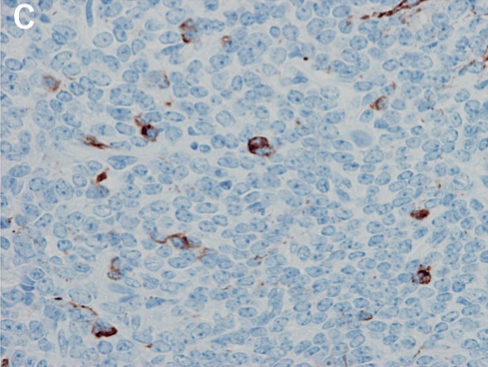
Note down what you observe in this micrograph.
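A dense field of tumor cells with pale blue round to oval nuclei, most of them unstained. Scattered single cells and thin branching processes among them carry a brown stain.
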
